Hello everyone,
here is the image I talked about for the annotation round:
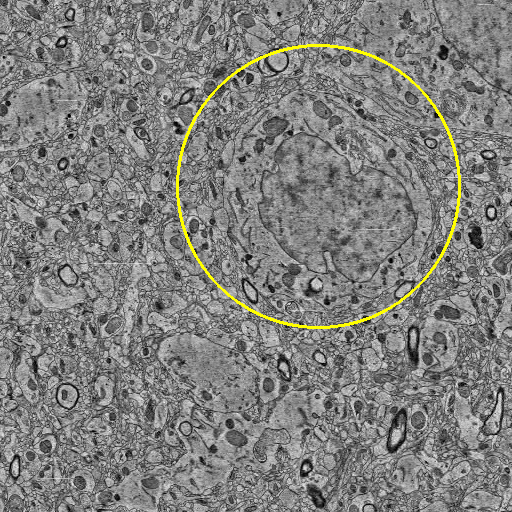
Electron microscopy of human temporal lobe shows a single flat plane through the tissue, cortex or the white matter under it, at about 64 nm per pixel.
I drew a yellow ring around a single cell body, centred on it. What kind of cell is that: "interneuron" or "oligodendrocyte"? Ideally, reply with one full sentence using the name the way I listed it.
The cell your yellow ring is centred on is an interneuron, going by your list.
